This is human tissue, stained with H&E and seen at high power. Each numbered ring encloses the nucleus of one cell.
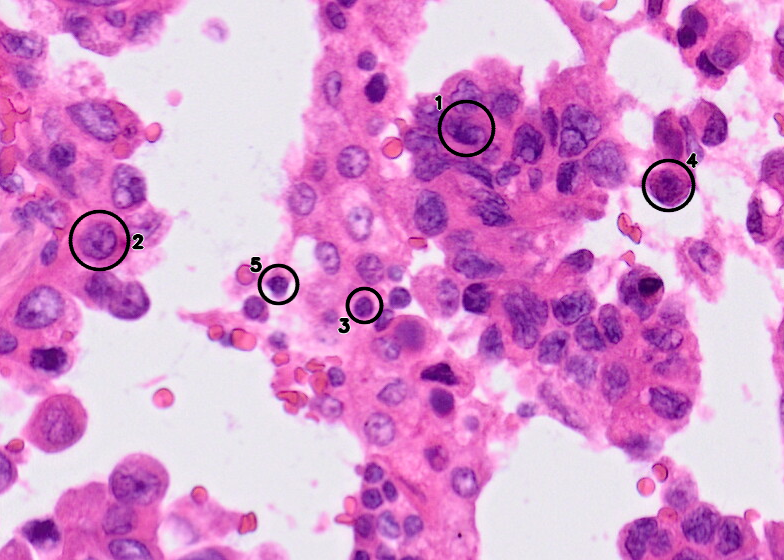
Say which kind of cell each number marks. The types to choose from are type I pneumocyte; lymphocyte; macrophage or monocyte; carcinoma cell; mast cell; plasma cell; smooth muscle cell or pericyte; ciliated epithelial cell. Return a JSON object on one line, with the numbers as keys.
{"1": "carcinoma cell", "2": "carcinoma cell", "3": "lymphocyte", "4": "carcinoma cell", "5": "lymphocyte"}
